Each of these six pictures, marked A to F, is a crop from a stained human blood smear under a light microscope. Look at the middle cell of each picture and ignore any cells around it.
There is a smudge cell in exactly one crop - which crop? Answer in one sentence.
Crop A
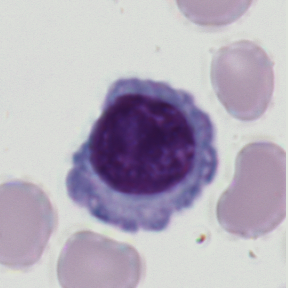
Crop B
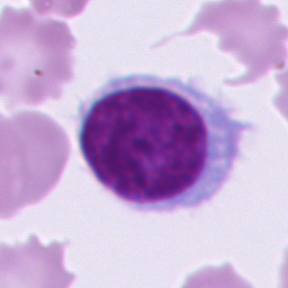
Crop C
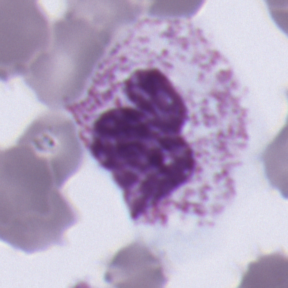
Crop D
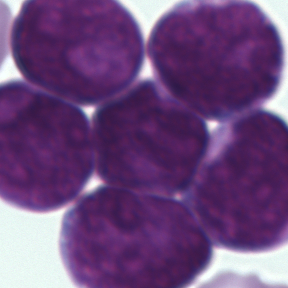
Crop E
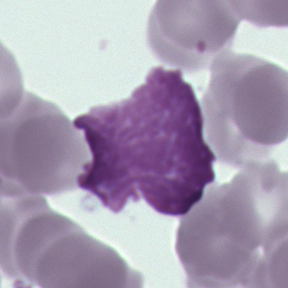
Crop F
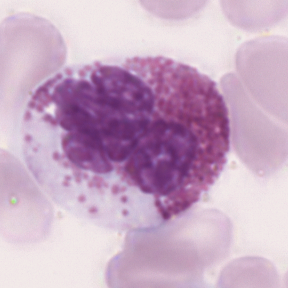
That would be crop E; it shows a smudge cell.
